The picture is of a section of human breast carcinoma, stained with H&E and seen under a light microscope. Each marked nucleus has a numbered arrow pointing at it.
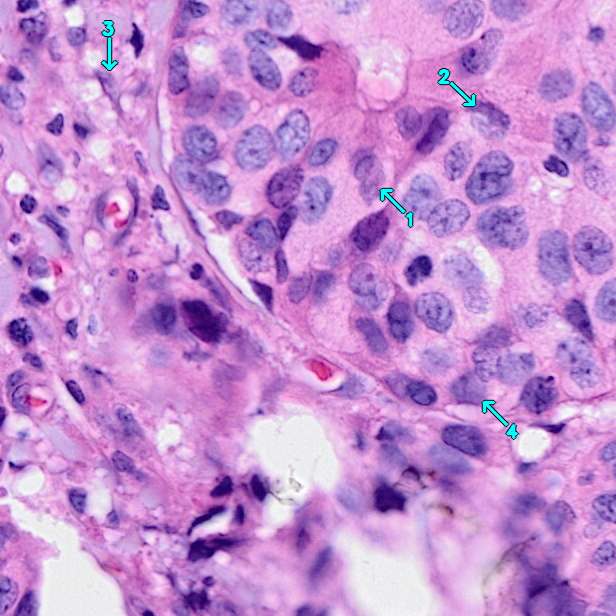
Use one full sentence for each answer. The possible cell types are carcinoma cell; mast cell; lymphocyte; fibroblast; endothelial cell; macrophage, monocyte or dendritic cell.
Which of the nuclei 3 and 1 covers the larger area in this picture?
It is nucleus 1, which covers about 2.5 times the area of nucleus 3.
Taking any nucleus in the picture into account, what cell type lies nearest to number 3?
The cell nearest to number 3 is a macrophage, monocyte or dendritic cell.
